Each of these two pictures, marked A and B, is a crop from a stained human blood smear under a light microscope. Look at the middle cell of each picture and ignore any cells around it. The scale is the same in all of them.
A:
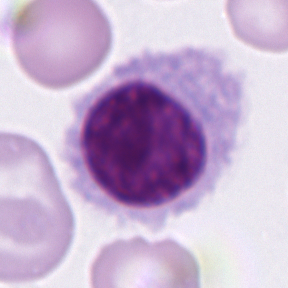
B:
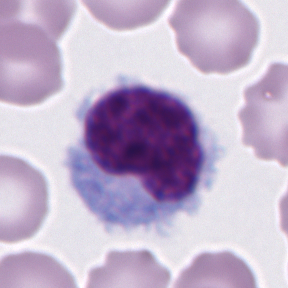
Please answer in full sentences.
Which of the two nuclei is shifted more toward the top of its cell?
In crop B the nucleus is shifted more toward the top.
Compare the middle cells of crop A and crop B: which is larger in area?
It is the cell in crop A, about 1.5 times as large in area as the cell in crop B.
